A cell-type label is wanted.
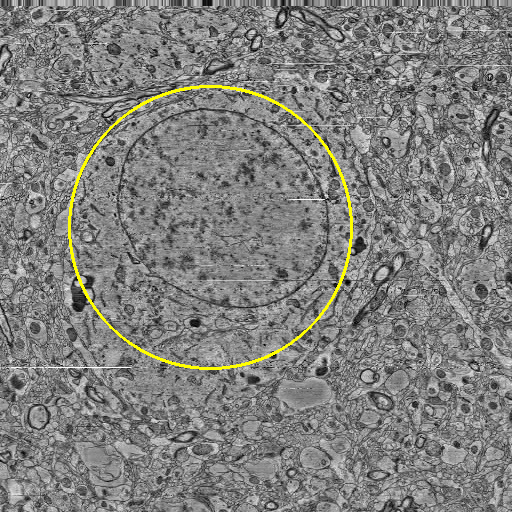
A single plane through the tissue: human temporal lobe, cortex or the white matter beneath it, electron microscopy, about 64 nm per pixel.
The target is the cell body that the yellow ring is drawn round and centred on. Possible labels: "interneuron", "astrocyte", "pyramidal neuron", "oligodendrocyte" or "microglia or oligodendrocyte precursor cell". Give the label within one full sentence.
Of the labels offered, the cell in the middle of the yellow ring is a pyramidal neuron.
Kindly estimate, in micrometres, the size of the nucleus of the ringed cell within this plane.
In this plane the nucleus is about 14 micrometres across.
